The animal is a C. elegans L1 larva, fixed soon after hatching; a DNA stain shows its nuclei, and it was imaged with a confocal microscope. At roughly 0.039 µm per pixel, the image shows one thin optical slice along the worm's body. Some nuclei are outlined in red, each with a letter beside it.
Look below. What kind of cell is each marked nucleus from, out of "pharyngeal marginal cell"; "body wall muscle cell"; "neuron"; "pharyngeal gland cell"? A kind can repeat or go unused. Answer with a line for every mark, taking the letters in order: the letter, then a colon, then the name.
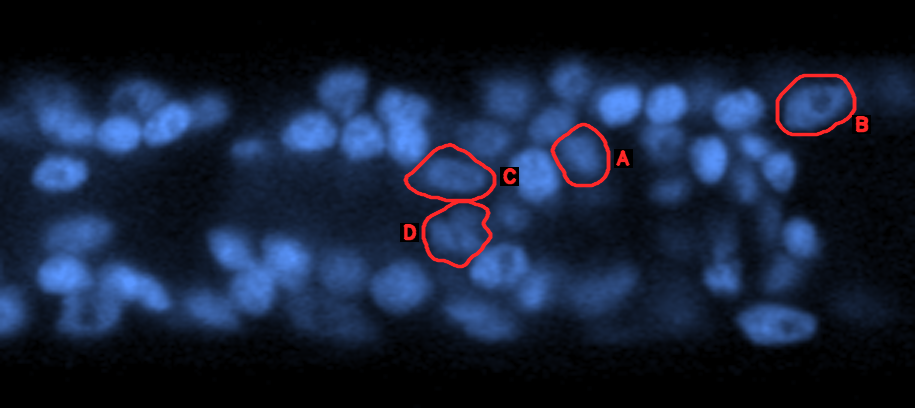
A: neuron
B: body wall muscle cell
C: pharyngeal marginal cell
D: pharyngeal marginal cell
